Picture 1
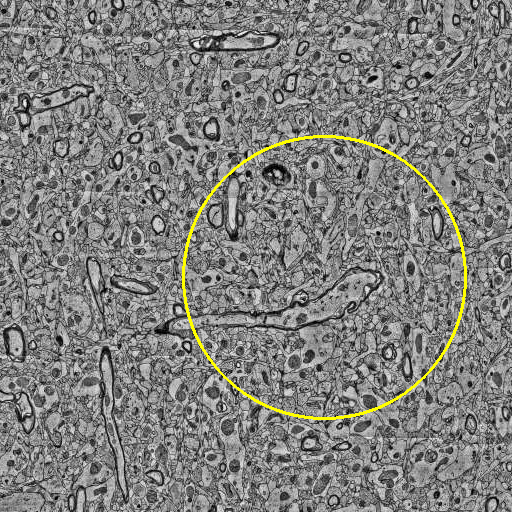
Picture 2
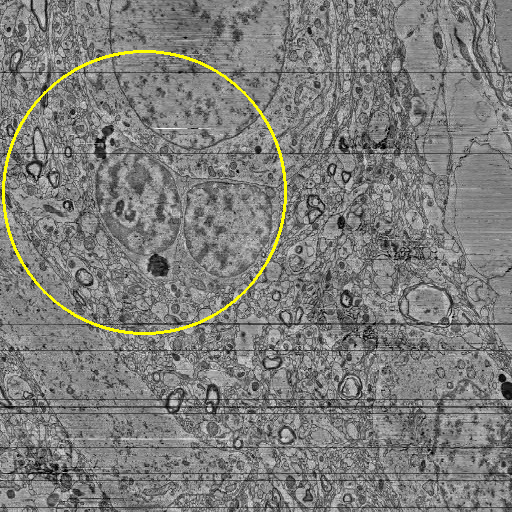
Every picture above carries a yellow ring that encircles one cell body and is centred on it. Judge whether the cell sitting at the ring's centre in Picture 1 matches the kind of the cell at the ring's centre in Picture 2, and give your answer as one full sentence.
No, the cells centred in the rings of Pictures 1 and 2 belong to two kinds.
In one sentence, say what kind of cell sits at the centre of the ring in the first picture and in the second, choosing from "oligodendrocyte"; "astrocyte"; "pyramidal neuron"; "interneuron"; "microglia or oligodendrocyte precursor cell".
The first picture's ringed cell is a microglial cell or oligodendrocyte precursor cell, while the second picture's is an oligodendrocyte.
